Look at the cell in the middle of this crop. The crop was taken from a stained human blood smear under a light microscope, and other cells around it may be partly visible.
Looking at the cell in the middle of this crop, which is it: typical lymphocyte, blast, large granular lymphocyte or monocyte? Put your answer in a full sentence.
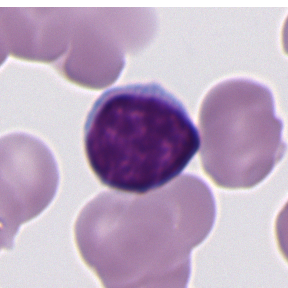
In the center of this field lies a typical lymphocyte.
